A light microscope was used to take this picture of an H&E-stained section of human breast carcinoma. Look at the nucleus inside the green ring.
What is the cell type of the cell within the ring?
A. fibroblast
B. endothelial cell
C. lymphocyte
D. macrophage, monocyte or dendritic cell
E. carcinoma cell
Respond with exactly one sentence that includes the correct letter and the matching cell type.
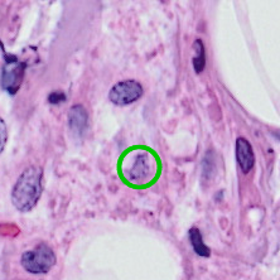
In this item, the cell within the ring is a macrophage, monocyte or dendritic cell, and option D is right.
